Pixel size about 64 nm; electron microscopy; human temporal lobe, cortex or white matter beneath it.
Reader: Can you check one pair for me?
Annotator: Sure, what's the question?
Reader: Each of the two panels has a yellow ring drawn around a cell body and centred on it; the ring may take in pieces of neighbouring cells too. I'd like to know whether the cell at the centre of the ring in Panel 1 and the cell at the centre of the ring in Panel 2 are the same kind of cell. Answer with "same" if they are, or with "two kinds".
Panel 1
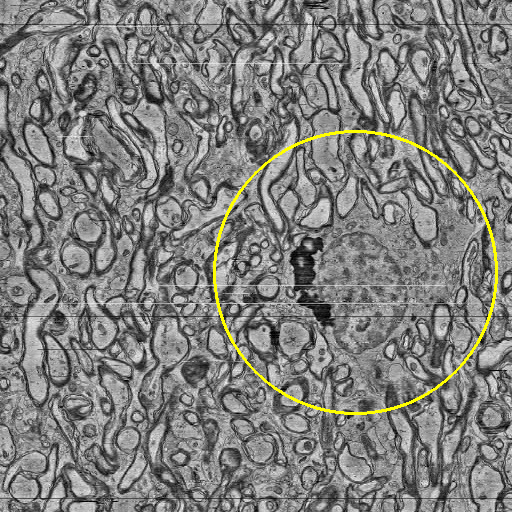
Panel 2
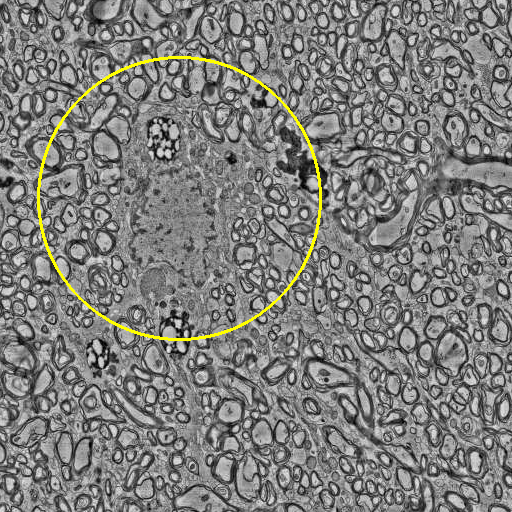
two kinds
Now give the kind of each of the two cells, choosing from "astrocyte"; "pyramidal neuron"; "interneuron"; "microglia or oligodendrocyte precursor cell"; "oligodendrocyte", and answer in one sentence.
The cell in the first picture is an oligodendrocyte, and the cell in the second is an astrocyte.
